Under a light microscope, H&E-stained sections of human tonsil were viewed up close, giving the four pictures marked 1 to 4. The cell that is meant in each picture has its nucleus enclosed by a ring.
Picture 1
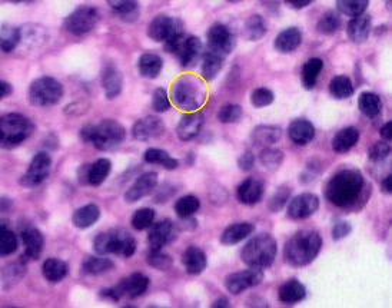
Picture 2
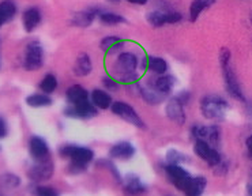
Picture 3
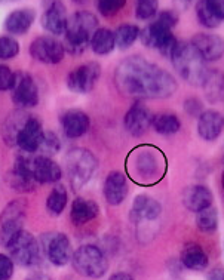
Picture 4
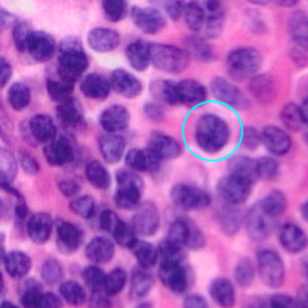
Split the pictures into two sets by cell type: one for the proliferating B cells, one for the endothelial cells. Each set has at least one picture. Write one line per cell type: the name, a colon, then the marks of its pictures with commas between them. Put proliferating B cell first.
proliferating B cell: 1, 4
endothelial cell: 2, 3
